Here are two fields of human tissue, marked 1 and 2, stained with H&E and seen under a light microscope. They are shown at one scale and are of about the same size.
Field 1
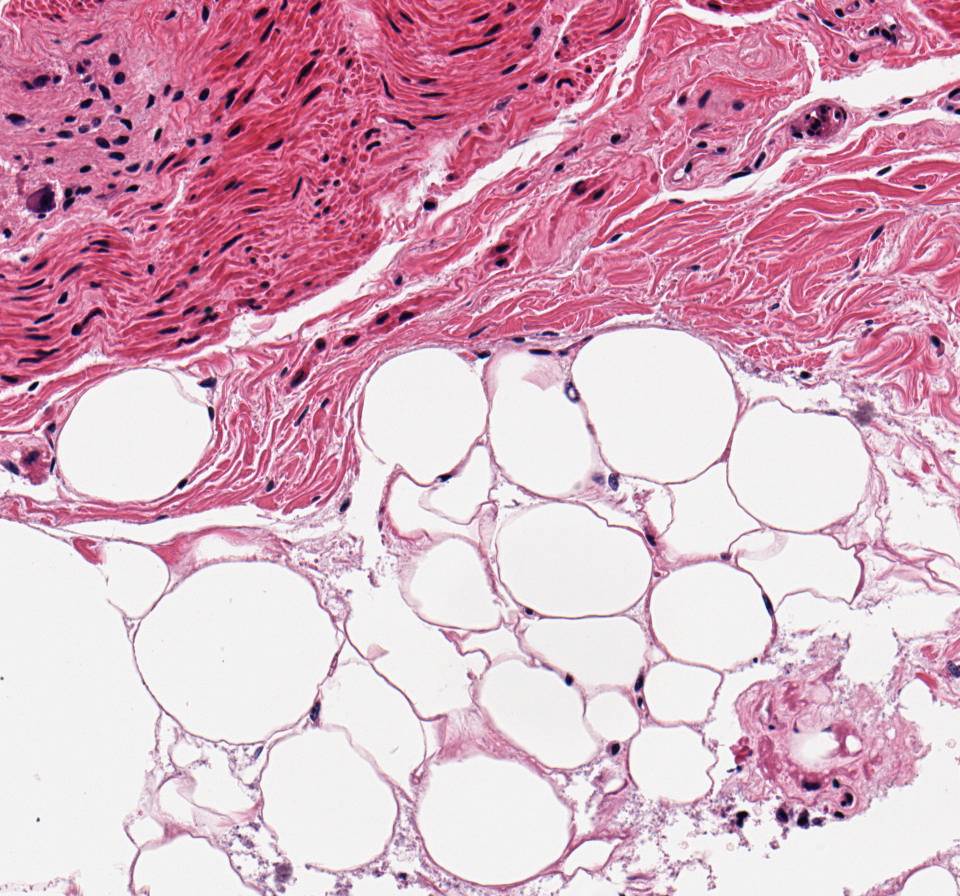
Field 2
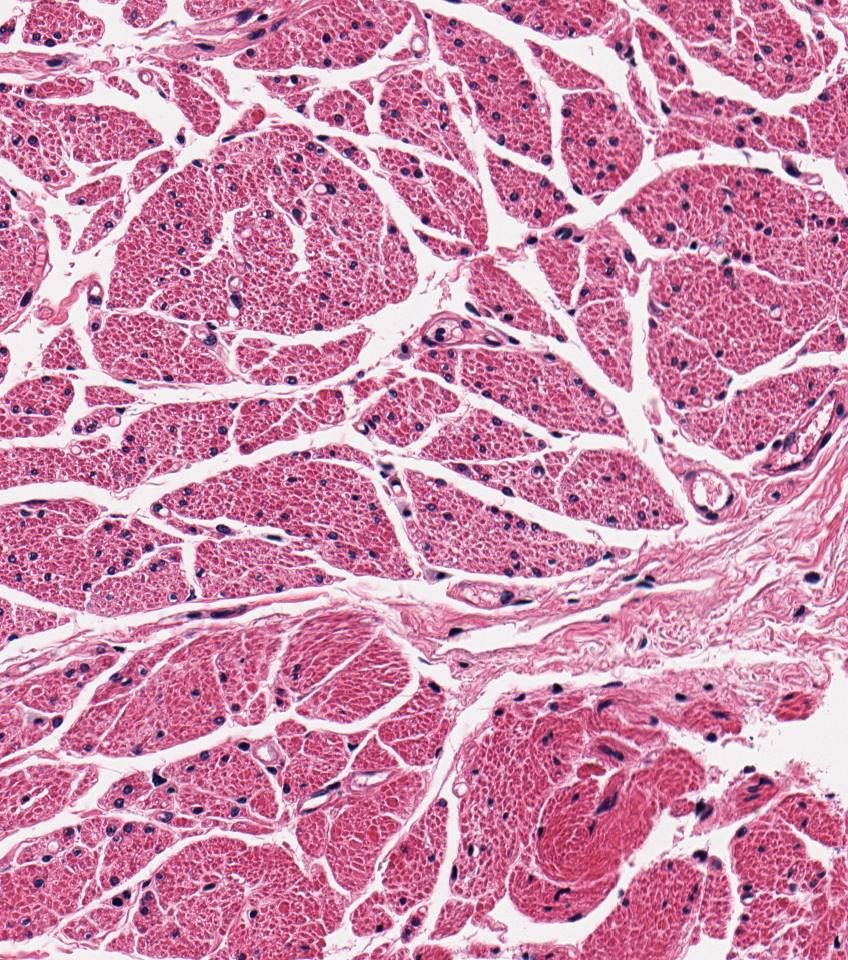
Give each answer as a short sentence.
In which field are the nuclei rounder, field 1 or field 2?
The nuclei are rounder in field 2.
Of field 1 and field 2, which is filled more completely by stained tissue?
It is field 2 that stained tissue fills more completely.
